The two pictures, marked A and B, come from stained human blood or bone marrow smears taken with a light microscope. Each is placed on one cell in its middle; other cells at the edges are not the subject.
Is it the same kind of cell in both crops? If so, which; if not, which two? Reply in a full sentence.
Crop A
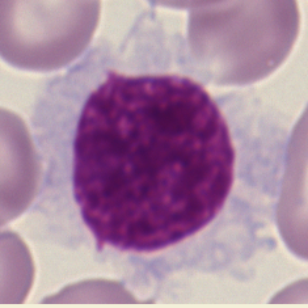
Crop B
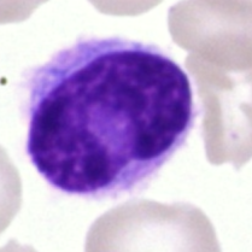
Yes, both crops show hairy cells, and the two match.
